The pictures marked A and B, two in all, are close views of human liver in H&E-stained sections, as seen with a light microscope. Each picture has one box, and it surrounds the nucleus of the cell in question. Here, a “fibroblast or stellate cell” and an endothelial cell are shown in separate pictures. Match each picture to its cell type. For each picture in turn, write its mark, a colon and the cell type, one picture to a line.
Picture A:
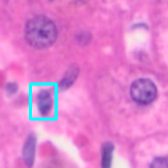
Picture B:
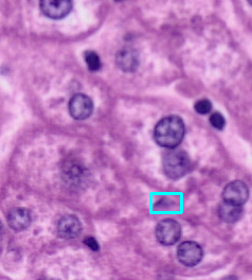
A: fibroblast or stellate cell
B: endothelial cell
